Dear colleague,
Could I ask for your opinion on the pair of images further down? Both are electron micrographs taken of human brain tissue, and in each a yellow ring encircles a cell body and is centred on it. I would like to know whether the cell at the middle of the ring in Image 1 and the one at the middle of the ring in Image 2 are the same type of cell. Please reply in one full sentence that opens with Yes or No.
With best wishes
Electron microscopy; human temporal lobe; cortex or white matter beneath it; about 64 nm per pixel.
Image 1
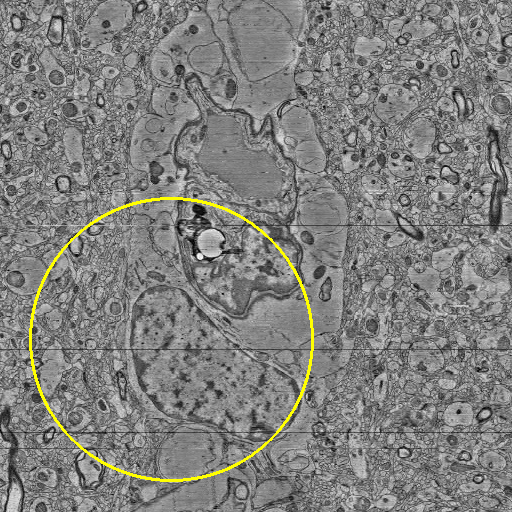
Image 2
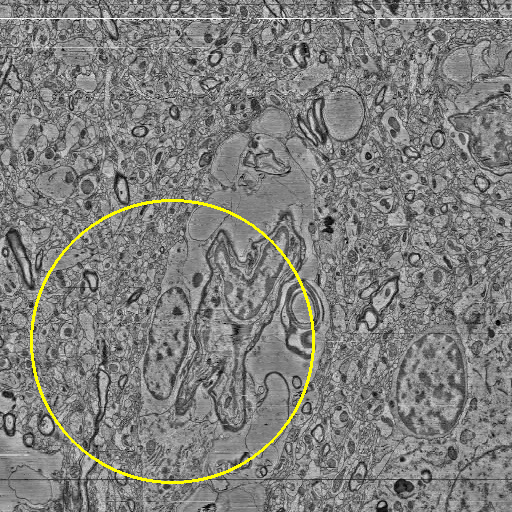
Yes, the cells at the ring centres in Image 1 and Image 2 are of one type.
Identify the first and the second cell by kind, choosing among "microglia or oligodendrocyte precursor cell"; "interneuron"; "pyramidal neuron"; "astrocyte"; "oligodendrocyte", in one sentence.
Each one of the two ringed cells is a microglial cell or oligodendrocyte precursor cell.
